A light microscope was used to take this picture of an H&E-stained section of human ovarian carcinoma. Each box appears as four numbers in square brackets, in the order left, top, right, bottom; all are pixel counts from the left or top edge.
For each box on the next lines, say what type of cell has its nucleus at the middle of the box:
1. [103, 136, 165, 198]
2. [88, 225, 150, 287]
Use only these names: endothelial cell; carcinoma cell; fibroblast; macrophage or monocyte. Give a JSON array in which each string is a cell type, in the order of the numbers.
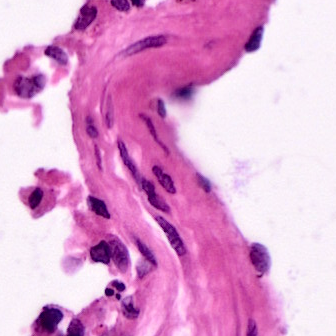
["fibroblast", "carcinoma cell"]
